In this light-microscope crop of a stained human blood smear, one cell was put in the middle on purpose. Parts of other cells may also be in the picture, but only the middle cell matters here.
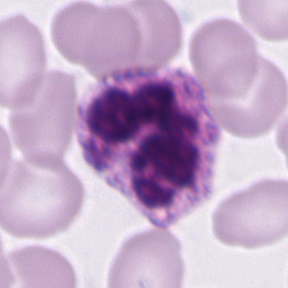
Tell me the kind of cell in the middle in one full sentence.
Looking at the middle of the crop, the cell there is a basophil.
